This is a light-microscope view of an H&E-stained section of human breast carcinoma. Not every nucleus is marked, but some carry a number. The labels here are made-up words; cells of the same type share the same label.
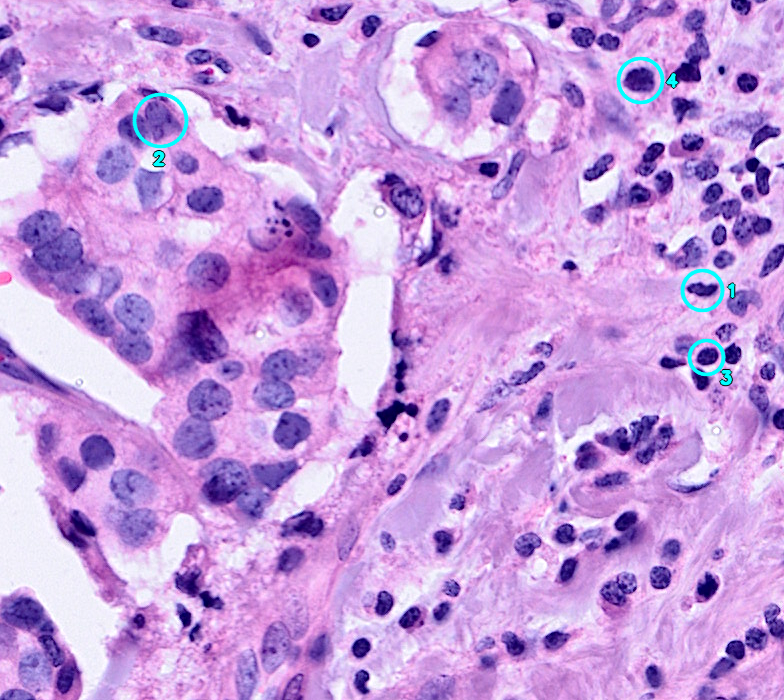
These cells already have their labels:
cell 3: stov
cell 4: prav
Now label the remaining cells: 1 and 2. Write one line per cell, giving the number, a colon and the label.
1: stov
2: prav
